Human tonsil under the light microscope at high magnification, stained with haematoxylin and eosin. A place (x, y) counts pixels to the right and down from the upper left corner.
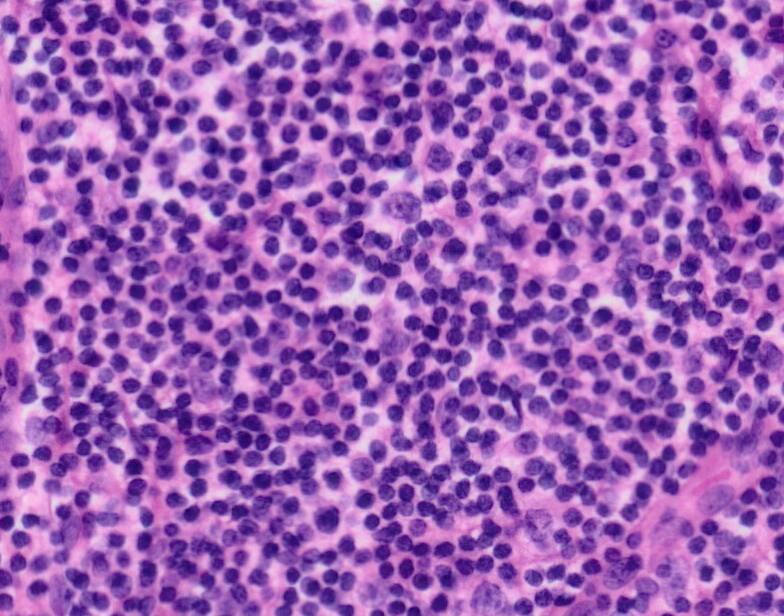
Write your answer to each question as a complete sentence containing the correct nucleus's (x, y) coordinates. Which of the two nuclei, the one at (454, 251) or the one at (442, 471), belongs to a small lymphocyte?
Belonging to a small lymphocyte is the nucleus at (442, 471).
